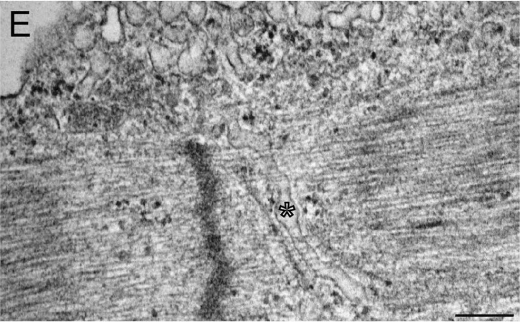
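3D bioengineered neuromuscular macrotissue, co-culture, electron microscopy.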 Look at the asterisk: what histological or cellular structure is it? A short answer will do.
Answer: T-tubule invagination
